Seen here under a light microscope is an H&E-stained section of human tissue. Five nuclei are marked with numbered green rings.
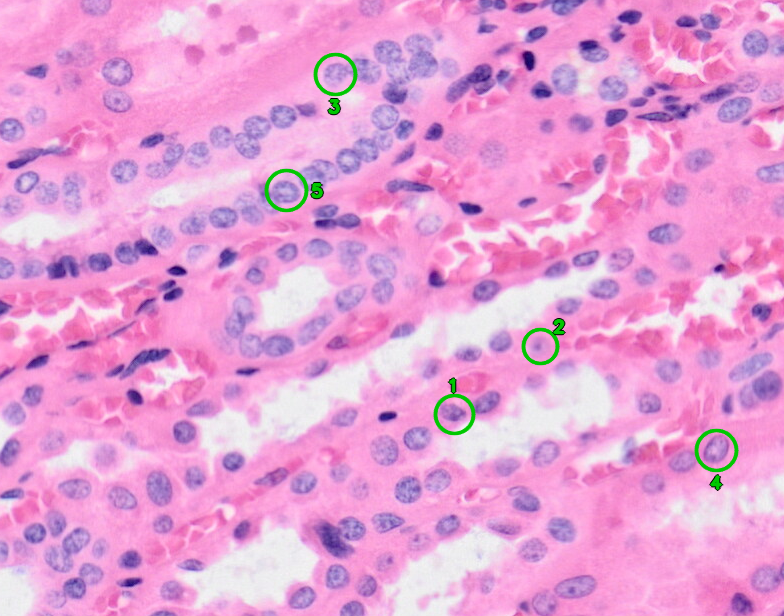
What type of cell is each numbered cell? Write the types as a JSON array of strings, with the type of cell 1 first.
["loop of Henle or distal tubule cell", "loop of Henle or distal tubule cell", "collecting duct cell", "proximal tubule cell", "collecting duct cell"]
